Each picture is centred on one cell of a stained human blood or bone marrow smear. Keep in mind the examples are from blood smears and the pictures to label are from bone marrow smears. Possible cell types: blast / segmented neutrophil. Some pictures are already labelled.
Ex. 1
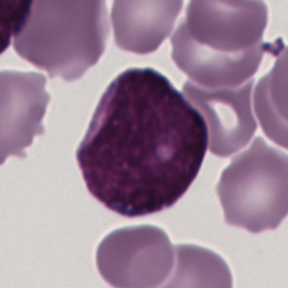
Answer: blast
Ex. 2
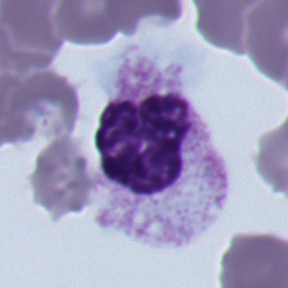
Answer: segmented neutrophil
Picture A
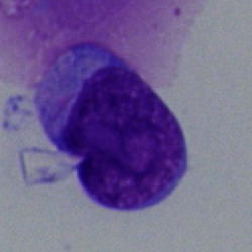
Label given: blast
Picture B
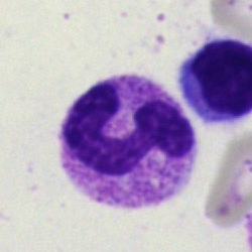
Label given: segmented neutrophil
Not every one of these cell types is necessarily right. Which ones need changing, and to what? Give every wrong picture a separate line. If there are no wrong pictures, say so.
No label is wrong.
